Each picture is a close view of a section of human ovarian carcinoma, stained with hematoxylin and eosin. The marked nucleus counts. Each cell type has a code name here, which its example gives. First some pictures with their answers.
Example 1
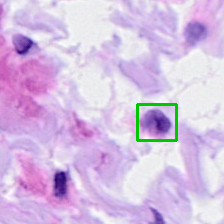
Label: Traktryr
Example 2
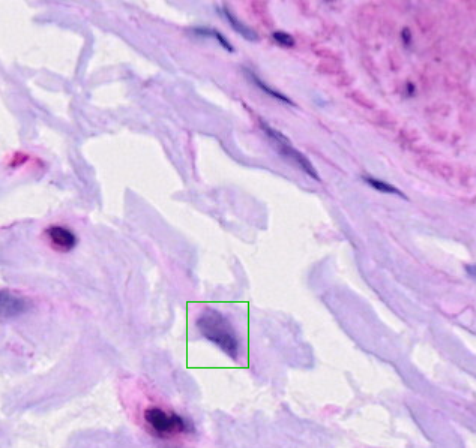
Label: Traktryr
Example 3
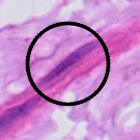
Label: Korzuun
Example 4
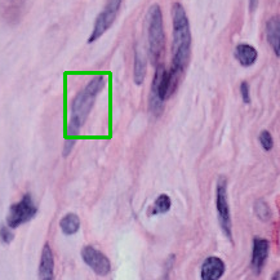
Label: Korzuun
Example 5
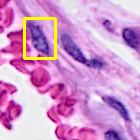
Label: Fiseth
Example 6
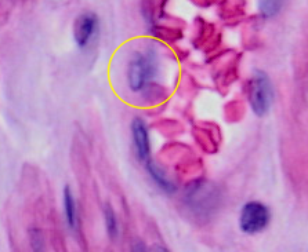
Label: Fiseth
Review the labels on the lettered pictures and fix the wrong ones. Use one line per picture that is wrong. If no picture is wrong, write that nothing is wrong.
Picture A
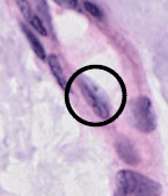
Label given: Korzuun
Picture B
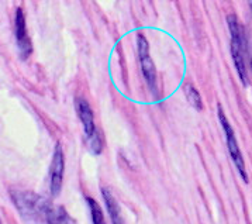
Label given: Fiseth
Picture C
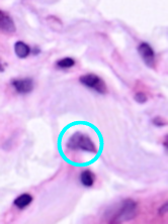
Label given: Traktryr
A is labelled Korzuun; correct label: Fiseth
B is labelled Fiseth; correct label: Traktryr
